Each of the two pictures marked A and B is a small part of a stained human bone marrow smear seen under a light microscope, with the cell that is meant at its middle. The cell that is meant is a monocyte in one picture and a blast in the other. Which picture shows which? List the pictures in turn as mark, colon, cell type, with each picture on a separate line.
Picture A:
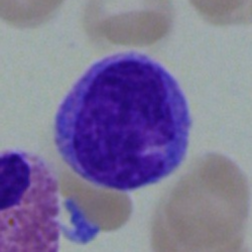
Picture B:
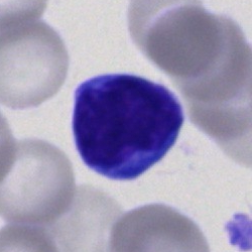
A: monocyte
B: blast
